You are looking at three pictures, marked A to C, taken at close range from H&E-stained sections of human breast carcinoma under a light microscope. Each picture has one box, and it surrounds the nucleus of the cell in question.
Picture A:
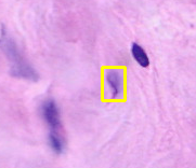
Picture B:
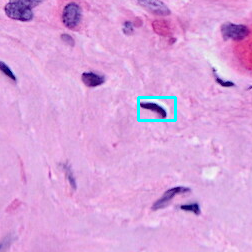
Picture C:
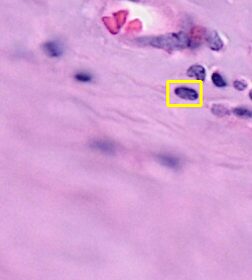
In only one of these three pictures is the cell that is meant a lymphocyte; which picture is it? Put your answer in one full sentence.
The cell in picture C is the lymphocyte.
